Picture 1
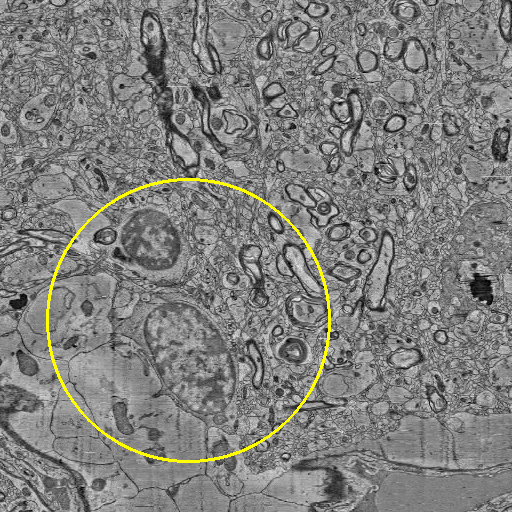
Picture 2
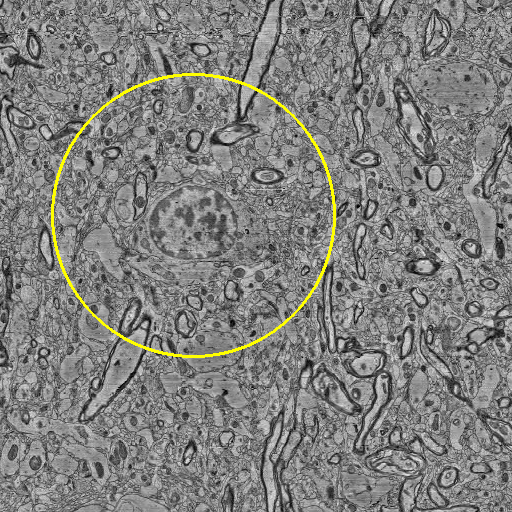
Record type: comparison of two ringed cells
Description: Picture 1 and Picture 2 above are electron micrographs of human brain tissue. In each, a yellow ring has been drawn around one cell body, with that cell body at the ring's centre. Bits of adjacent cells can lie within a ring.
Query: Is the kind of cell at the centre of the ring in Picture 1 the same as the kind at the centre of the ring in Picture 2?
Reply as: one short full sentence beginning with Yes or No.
Yes, the two ringed cells are of the same kind.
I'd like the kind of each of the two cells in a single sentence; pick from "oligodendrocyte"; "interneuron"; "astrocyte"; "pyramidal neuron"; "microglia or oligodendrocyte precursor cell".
Each of the two rings is centred on an oligodendrocyte.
